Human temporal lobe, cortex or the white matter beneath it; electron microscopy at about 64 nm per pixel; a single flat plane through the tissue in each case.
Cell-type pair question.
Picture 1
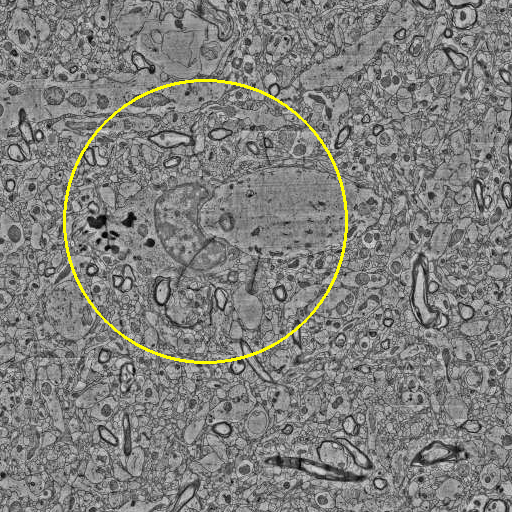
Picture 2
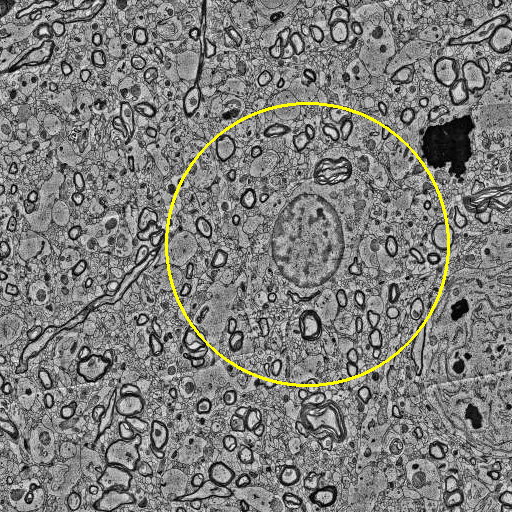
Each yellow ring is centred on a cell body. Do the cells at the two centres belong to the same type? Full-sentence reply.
Yes, the two cells belong to the same type.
